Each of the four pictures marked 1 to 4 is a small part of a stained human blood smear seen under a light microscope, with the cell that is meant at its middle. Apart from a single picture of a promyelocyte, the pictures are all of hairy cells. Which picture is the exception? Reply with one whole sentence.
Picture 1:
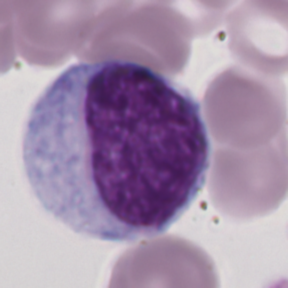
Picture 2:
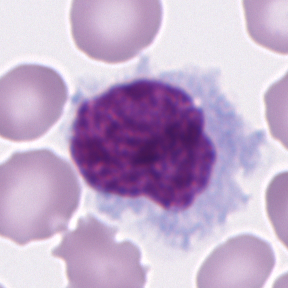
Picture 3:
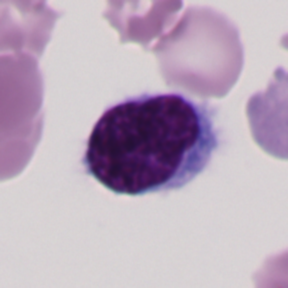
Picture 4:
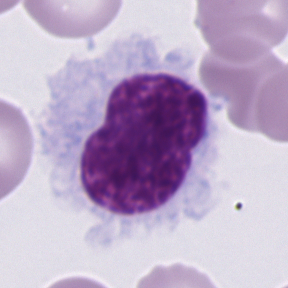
The promyelocyte is the one in picture 1.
